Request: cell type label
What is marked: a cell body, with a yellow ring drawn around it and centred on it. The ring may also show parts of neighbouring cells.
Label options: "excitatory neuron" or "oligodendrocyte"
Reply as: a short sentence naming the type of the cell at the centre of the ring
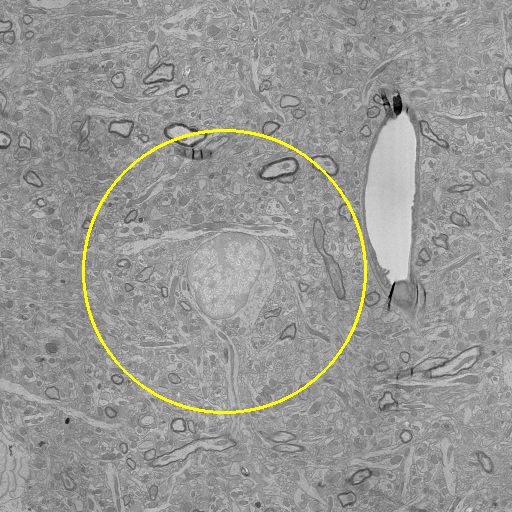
The marked cell body is that of an oligodendrocyte.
